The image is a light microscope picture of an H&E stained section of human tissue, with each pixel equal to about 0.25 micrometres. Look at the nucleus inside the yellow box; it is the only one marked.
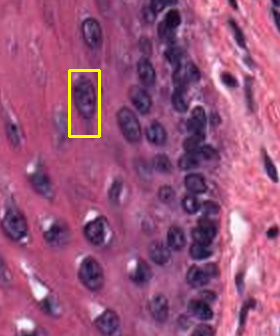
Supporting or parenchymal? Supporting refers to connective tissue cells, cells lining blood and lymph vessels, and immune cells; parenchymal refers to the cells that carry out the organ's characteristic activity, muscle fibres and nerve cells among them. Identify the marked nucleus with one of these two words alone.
parenchymal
